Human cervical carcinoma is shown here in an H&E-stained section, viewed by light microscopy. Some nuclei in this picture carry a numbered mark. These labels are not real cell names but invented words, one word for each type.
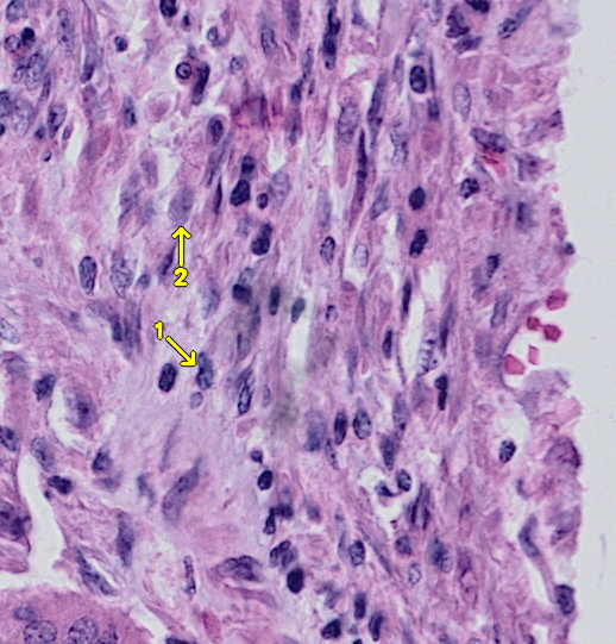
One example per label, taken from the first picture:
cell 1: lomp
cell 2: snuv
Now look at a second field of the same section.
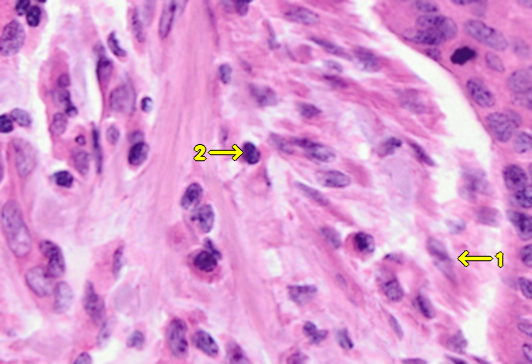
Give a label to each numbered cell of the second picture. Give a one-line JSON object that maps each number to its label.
{"1": "snuv", "2": "lomp"}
